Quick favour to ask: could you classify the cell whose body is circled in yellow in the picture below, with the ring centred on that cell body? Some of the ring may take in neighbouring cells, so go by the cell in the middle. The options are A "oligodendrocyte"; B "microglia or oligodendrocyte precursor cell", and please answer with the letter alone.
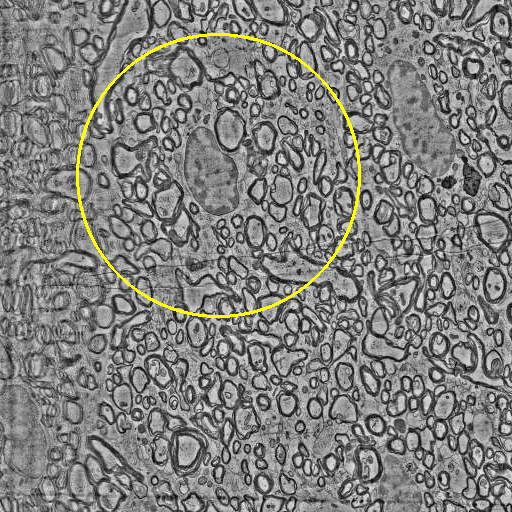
B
